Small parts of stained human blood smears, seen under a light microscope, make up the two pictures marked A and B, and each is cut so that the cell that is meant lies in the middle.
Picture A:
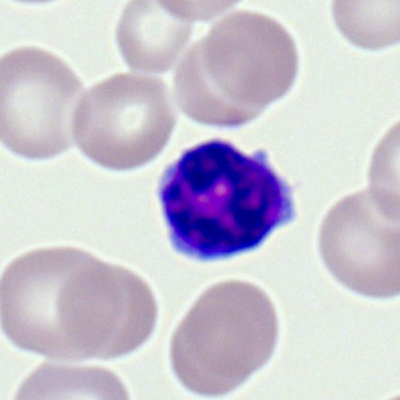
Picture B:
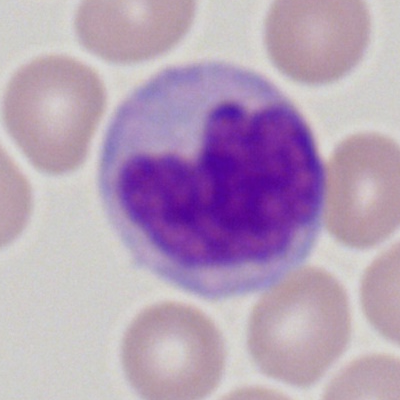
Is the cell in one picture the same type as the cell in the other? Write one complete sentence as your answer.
No. Picture A shows a lymphocyte, but picture B shows a monocyte.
